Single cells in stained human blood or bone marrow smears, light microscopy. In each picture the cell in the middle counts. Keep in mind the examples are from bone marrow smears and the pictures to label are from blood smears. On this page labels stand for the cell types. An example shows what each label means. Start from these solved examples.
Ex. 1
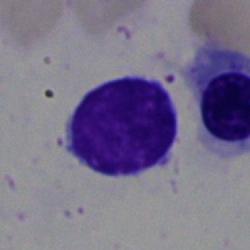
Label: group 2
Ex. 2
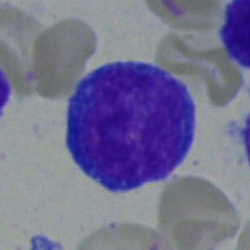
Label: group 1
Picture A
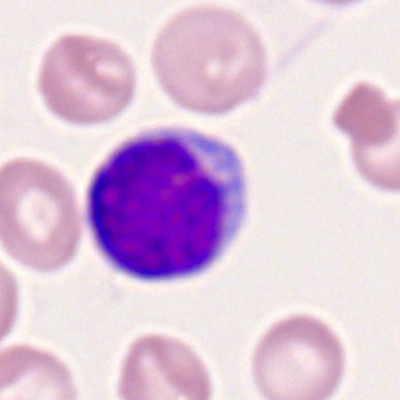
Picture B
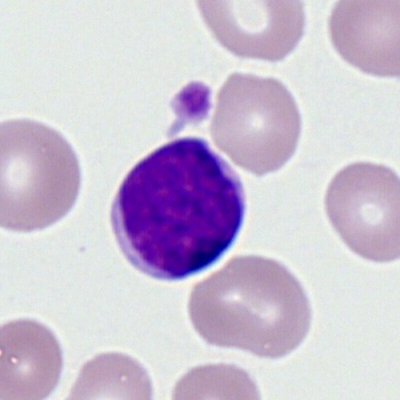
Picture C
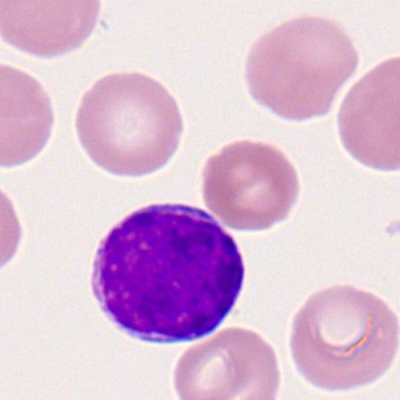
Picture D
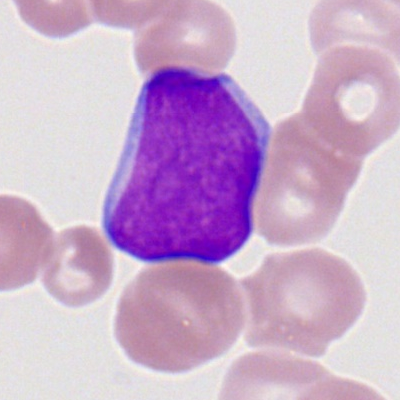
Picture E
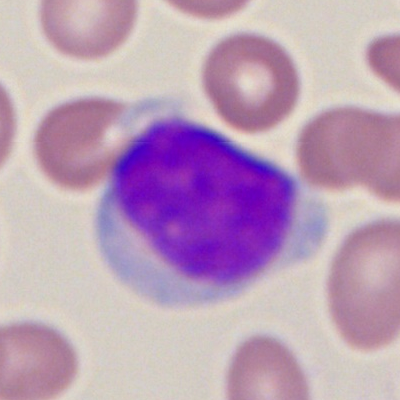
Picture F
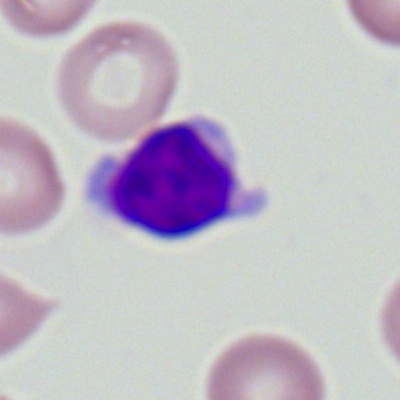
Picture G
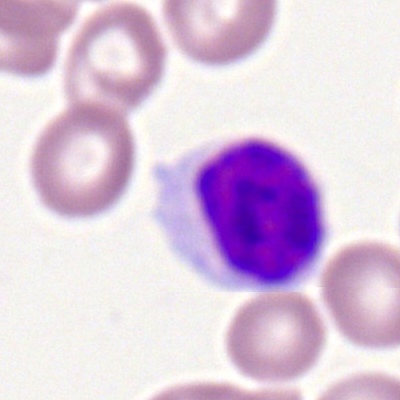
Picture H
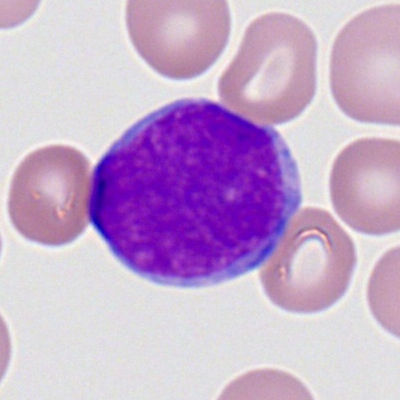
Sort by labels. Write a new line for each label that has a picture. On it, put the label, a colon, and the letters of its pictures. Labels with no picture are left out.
group 2: A, B, E, F, G
group 1: C, D, H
